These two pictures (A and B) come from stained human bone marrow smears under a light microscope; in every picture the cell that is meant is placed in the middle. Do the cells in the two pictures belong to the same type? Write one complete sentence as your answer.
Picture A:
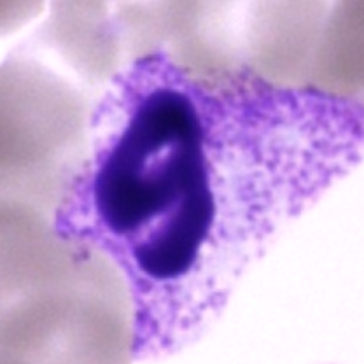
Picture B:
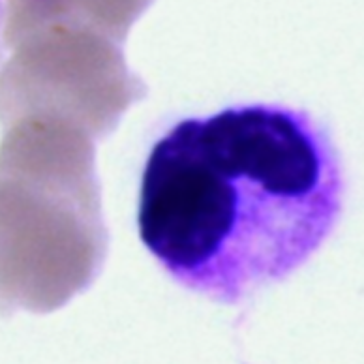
Yes, both are segmented neutrophils.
